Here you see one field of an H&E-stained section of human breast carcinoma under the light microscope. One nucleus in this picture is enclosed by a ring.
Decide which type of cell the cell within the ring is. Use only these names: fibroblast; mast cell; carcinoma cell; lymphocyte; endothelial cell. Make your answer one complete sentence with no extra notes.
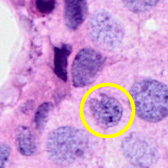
The classification of the cell within the ring is as a carcinoma cell.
